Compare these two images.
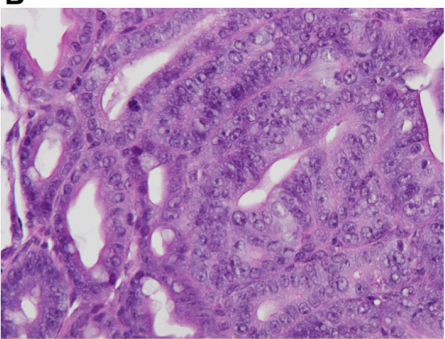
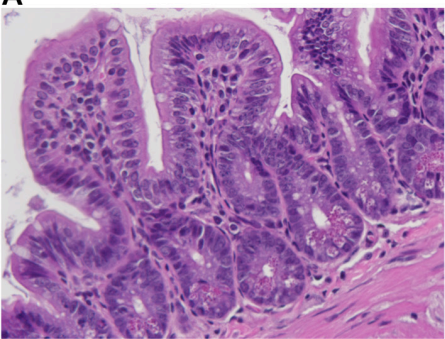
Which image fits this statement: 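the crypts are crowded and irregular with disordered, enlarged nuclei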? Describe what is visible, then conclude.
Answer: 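First image: back-to-back irregular glands with enlarged, rounded, stratified nuclei. Second image: regular crypts lined by a single orderly layer of columnar cells with basal nuclei.
The first image.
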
